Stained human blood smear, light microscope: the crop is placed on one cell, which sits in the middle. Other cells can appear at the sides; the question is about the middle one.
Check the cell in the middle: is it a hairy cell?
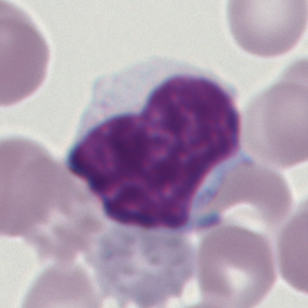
no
